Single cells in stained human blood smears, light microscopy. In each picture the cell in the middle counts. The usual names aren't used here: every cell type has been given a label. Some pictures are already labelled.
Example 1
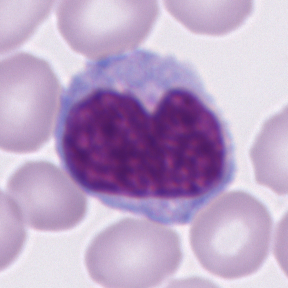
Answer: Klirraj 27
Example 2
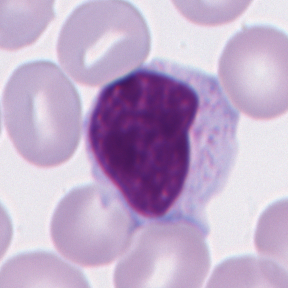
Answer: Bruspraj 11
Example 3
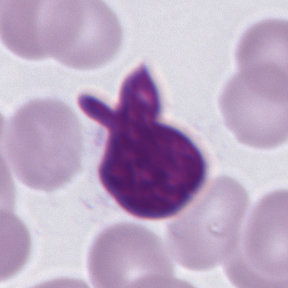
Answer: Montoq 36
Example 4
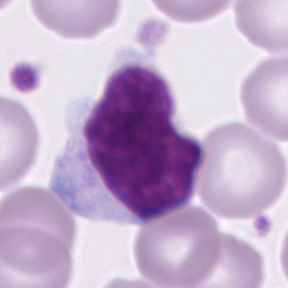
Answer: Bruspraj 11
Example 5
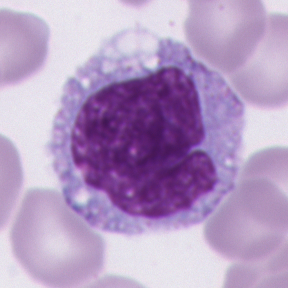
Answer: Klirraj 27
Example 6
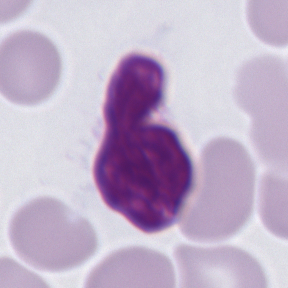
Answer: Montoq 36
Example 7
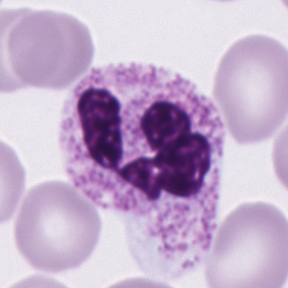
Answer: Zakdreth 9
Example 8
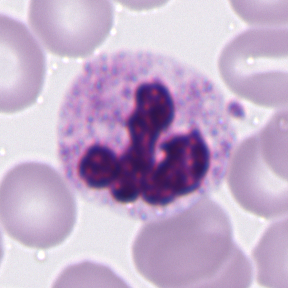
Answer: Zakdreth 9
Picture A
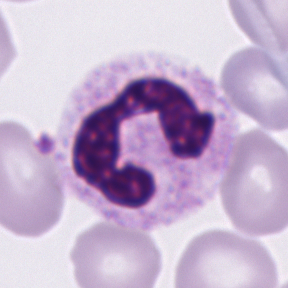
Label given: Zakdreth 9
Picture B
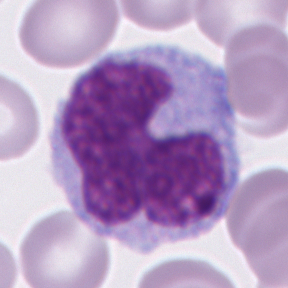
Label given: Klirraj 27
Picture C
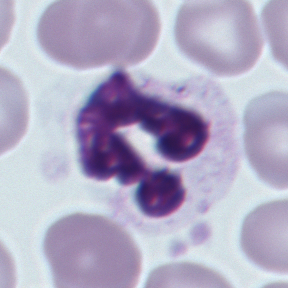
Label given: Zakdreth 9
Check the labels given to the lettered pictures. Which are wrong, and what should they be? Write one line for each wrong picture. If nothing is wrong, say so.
None of the labels needs changing.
